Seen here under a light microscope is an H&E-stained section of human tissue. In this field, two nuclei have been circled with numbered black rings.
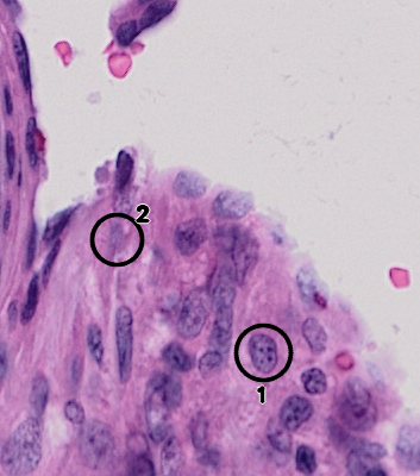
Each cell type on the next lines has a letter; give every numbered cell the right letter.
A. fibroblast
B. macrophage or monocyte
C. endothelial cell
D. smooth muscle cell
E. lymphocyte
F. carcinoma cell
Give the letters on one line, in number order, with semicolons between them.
B; A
